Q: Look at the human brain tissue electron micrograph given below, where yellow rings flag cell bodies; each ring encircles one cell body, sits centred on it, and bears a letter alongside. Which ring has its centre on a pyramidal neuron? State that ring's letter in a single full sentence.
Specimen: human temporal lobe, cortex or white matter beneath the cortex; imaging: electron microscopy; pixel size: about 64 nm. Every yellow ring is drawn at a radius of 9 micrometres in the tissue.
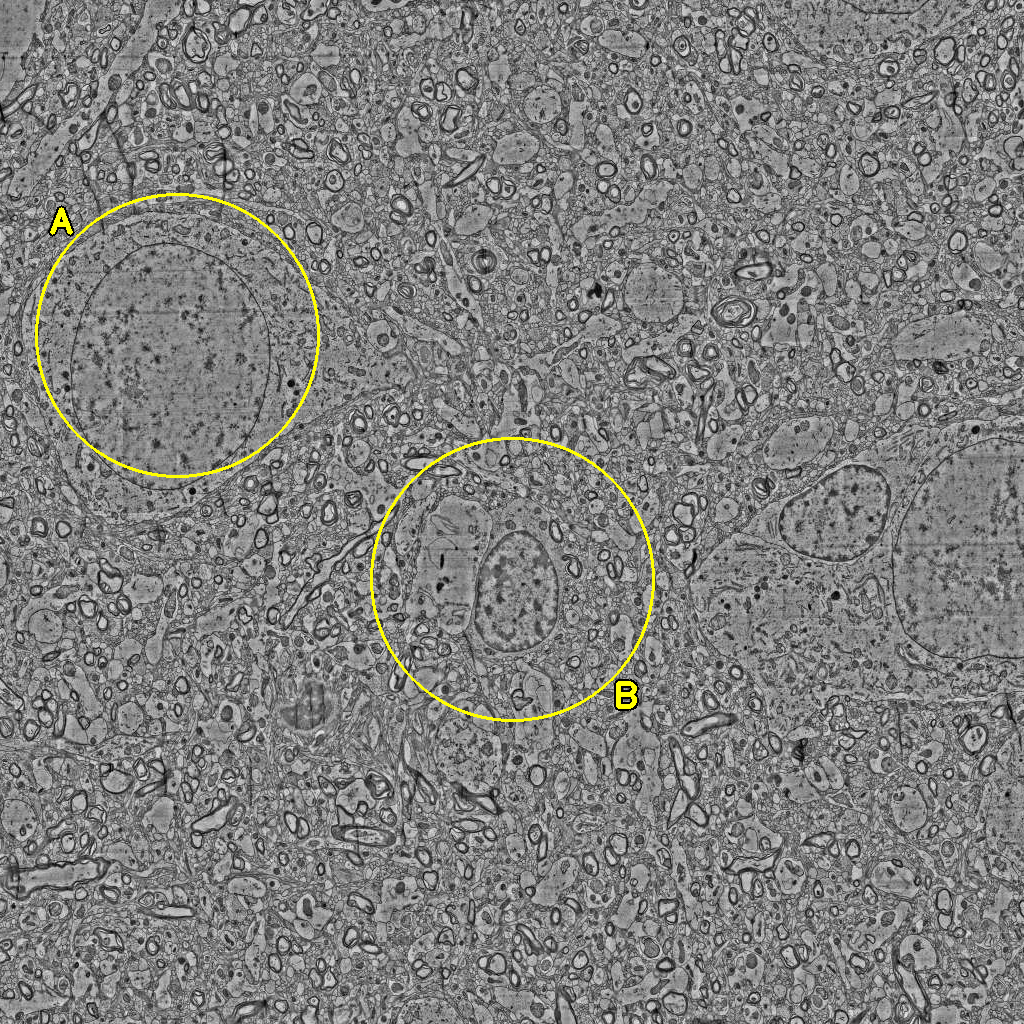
In the picture, the cell of that kind sits at the centre of ring A.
